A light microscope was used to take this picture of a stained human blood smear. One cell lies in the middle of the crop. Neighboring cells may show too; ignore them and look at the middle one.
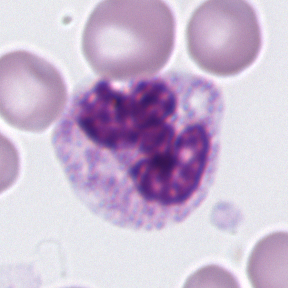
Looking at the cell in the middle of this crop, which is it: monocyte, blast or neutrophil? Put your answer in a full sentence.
The cell occupying the middle of the crop is a neutrophil.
